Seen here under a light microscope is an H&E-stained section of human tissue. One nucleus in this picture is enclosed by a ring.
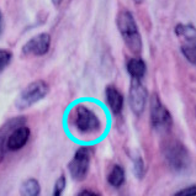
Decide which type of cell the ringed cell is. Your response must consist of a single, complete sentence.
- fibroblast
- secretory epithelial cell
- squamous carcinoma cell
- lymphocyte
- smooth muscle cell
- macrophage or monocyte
The category to which the ringed cell belongs is that of a lymphocyte.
